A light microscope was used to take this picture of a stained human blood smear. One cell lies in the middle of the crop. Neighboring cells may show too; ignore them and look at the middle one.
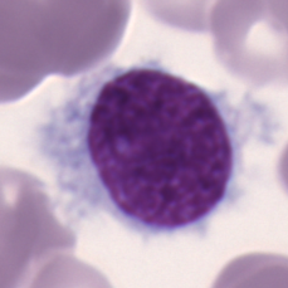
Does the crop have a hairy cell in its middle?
yes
